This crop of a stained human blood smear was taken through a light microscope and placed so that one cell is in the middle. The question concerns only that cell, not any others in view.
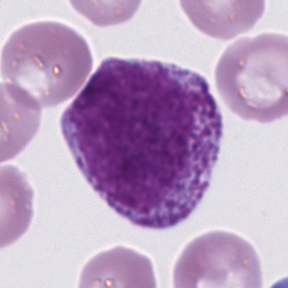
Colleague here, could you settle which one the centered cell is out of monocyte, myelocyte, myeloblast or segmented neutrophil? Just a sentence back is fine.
The cell marked by its central position in the crop is a myelocyte.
